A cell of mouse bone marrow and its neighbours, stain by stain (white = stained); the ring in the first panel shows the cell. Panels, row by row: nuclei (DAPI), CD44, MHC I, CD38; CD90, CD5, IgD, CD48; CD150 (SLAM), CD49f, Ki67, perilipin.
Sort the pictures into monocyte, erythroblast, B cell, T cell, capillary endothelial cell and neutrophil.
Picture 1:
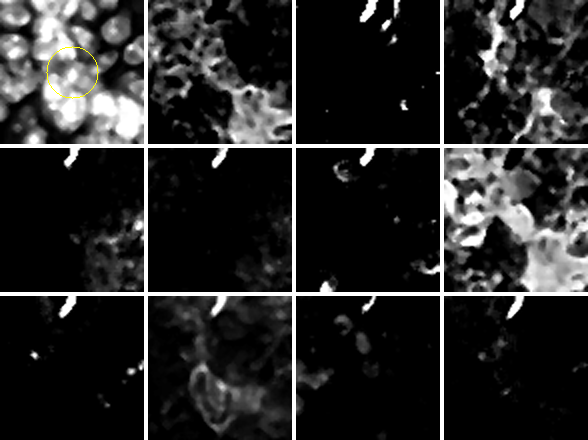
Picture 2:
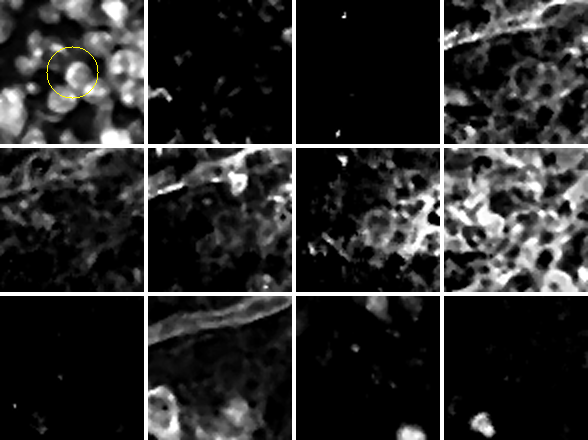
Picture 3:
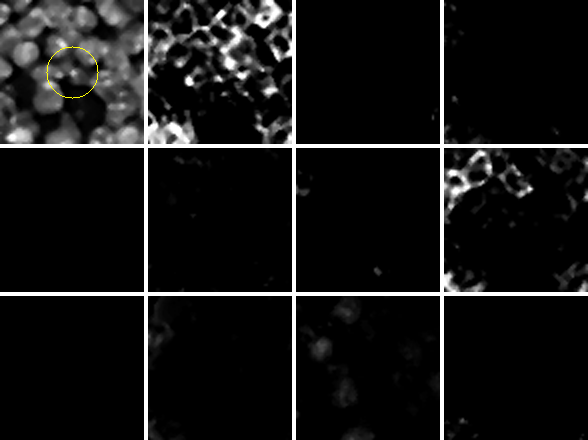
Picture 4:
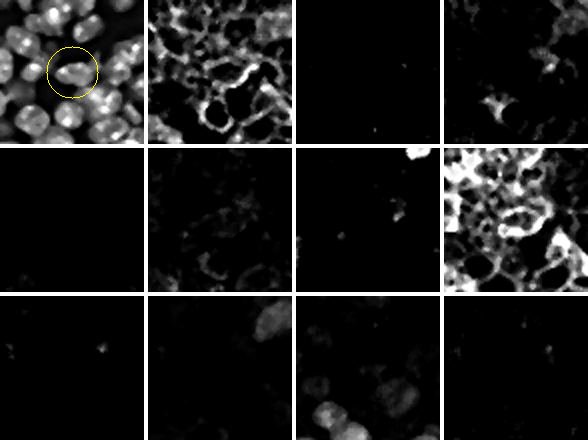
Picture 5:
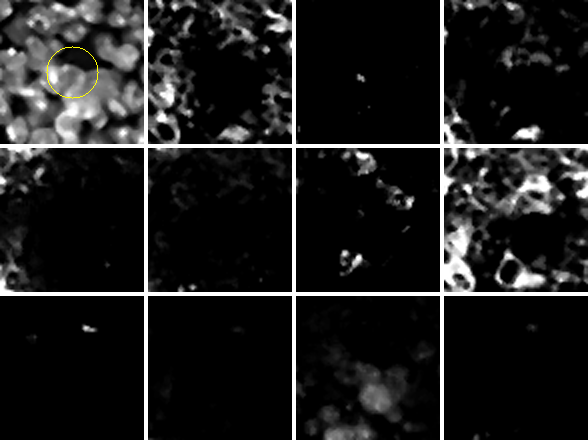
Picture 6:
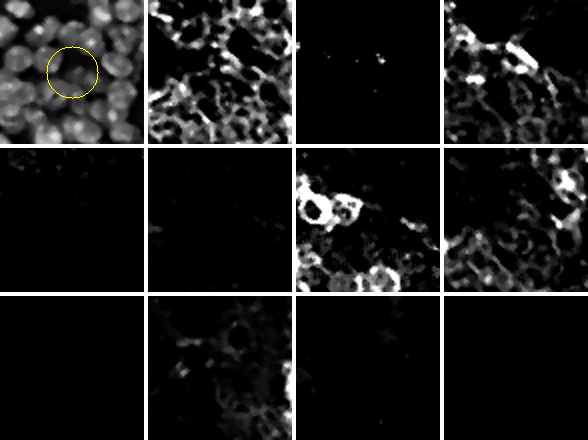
Monocytes: 1, 4
B cells: 2
Neutrophils: 3
Erythroblasts: 5
Capillary endothelial cells: 6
